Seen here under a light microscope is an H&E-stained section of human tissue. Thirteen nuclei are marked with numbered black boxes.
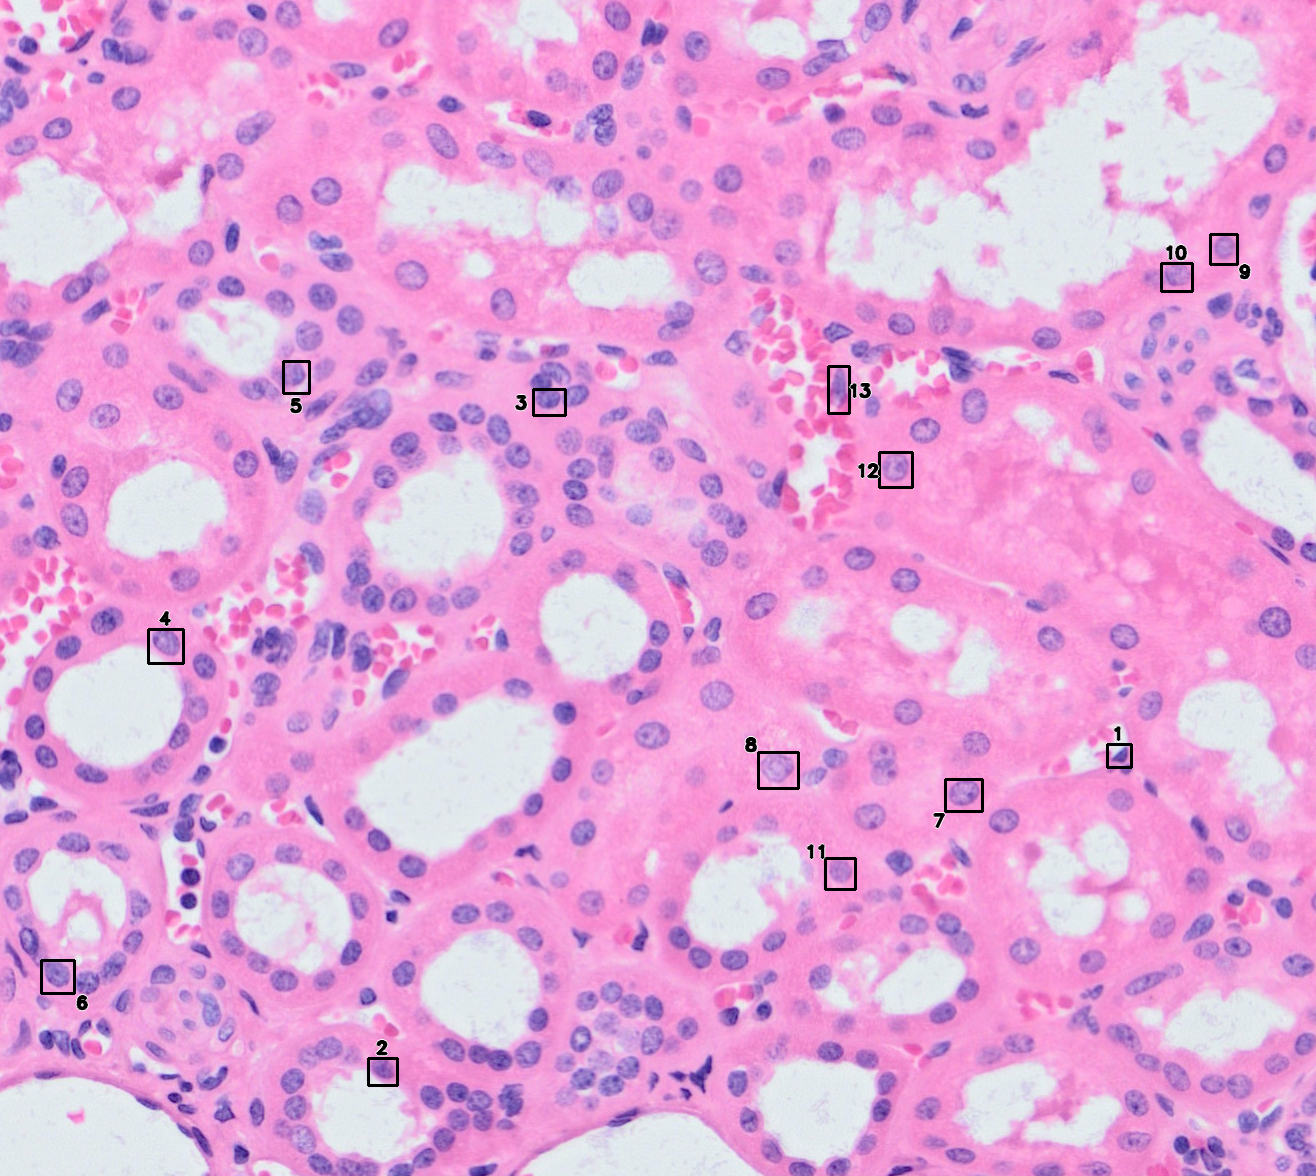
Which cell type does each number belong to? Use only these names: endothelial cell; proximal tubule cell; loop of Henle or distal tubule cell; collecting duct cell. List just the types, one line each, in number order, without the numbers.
endothelial cell
loop of Henle or distal tubule cell
collecting duct cell
loop of Henle or distal tubule cell
collecting duct cell
collecting duct cell
proximal tubule cell
proximal tubule cell
proximal tubule cell
proximal tubule cell
loop of Henle or distal tubule cell
proximal tubule cell
endothelial cell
